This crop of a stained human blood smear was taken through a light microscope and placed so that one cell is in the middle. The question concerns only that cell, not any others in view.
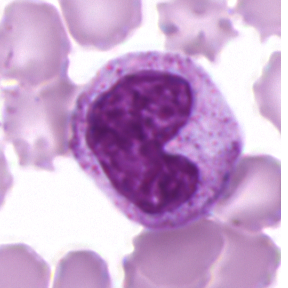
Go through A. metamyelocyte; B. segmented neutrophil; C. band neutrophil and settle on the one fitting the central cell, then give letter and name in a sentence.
The correct response is option A, naming the cell in the middle as a metamyelocyte.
